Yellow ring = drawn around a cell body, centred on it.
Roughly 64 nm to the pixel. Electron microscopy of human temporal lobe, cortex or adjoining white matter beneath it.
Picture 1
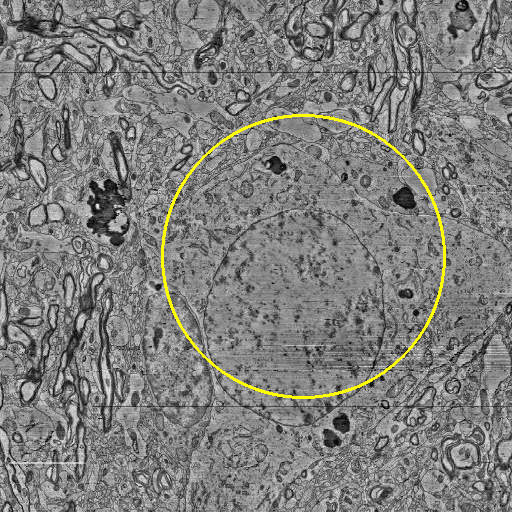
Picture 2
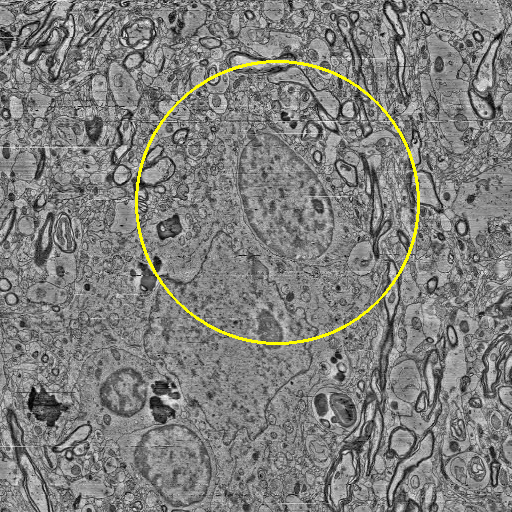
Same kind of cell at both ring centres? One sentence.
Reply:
No, they are two kinds of cell.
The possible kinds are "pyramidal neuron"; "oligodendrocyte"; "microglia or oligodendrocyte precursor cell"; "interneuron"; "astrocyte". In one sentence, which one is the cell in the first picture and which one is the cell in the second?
The cell ringed in the second picture is an oligodendrocyte, whereas the one ringed in the first is a pyramidal neuron.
